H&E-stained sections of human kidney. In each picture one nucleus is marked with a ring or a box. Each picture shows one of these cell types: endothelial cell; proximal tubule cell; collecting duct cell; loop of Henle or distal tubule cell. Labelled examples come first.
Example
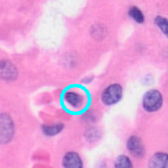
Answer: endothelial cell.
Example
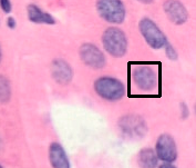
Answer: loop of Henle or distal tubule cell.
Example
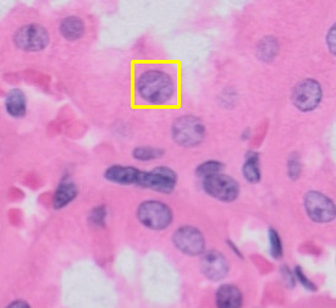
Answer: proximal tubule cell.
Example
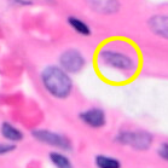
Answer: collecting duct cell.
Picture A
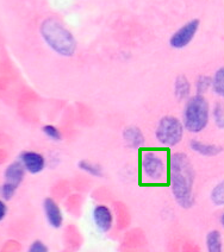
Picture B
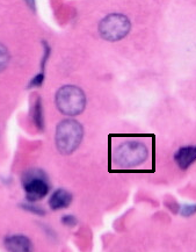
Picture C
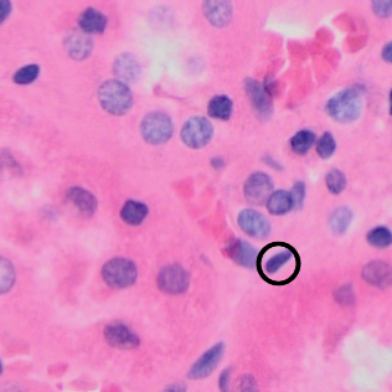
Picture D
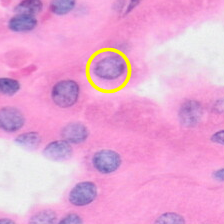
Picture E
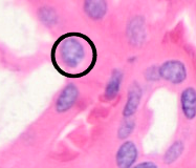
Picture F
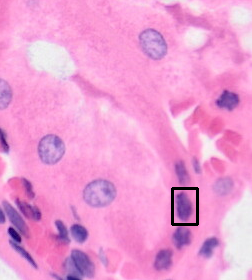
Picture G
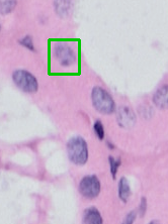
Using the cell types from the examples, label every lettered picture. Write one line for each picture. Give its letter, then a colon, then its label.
A: collecting duct cell.
B: proximal tubule cell.
C: endothelial cell.
D: proximal tubule cell.
E: loop of Henle or distal tubule cell.
F: proximal tubule cell.
G: loop of Henle or distal tubule cell.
